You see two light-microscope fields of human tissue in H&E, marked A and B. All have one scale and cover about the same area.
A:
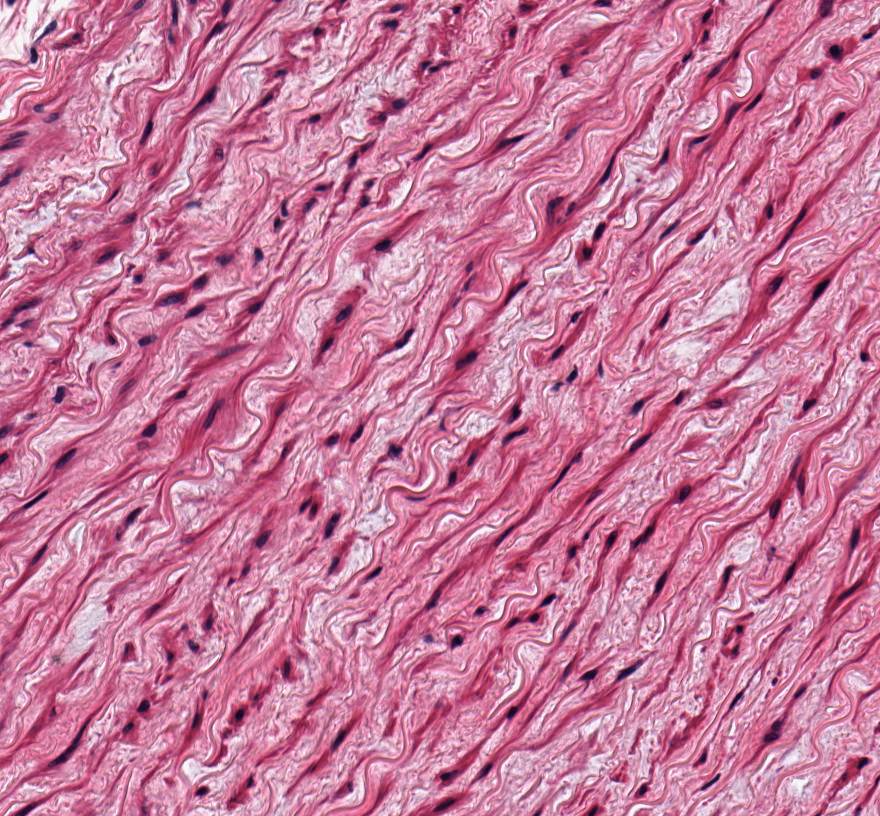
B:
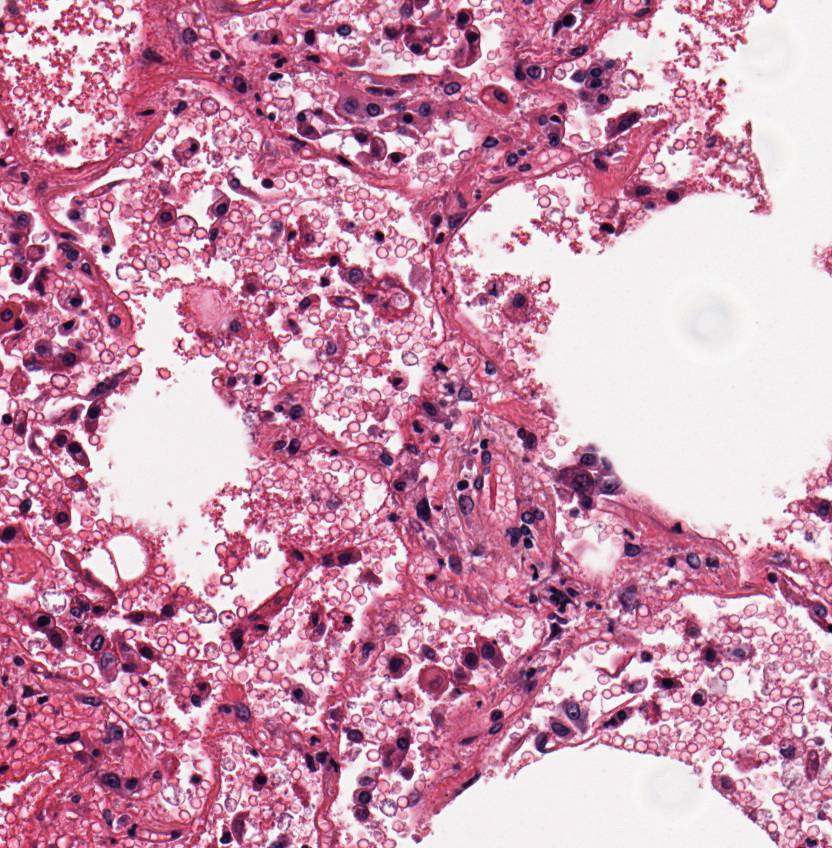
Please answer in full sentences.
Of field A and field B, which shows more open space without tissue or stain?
Unstained space takes up more of field B than of field A.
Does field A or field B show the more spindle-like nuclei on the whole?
It is field A whose nuclei are the more elongated.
